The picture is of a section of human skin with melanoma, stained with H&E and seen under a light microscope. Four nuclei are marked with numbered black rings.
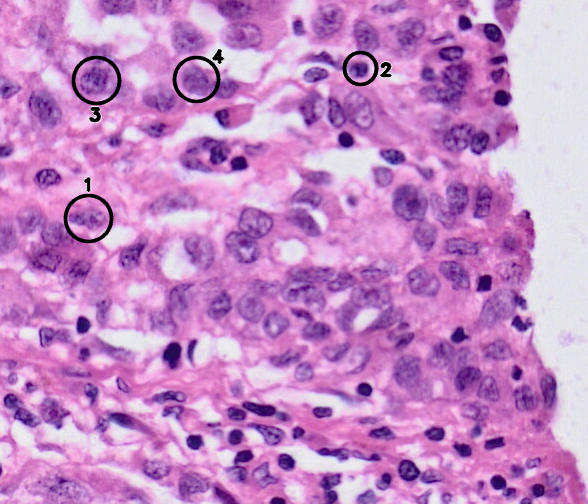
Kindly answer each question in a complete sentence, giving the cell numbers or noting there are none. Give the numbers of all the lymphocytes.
Only at number 2 is there a lymphocyte.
